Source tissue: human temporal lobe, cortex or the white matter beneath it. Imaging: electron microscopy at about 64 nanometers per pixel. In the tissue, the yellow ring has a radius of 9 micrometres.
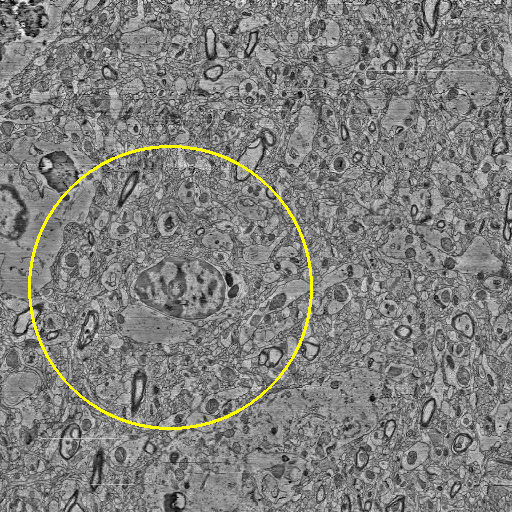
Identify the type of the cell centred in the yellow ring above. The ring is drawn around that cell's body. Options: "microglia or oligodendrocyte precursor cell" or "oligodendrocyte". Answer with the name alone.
microglia or oligodendrocyte precursor cell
